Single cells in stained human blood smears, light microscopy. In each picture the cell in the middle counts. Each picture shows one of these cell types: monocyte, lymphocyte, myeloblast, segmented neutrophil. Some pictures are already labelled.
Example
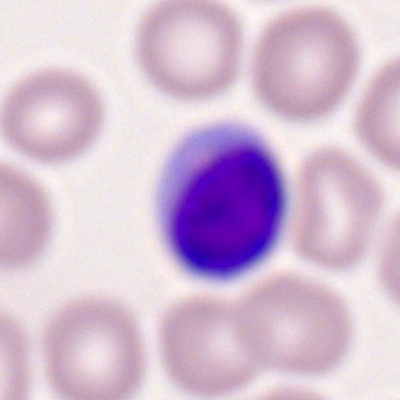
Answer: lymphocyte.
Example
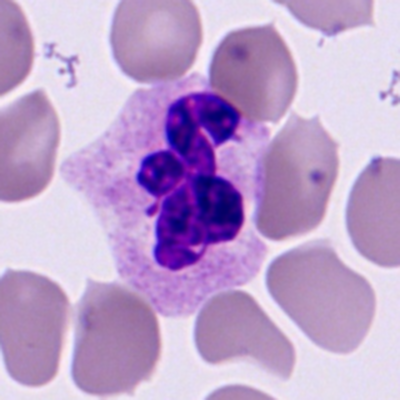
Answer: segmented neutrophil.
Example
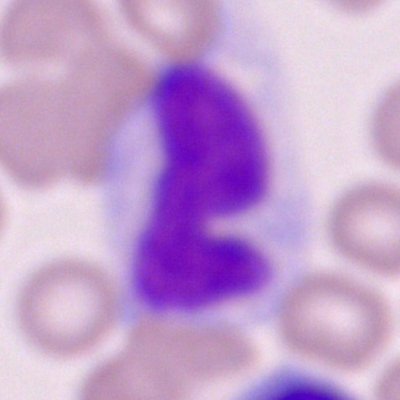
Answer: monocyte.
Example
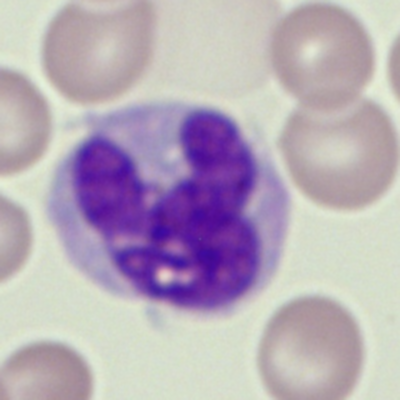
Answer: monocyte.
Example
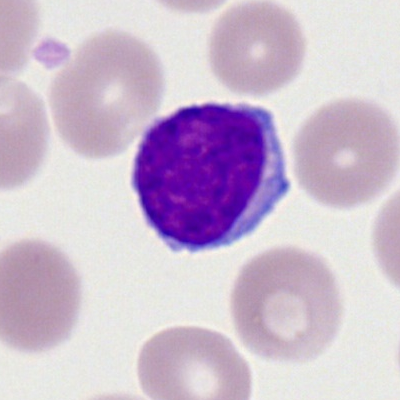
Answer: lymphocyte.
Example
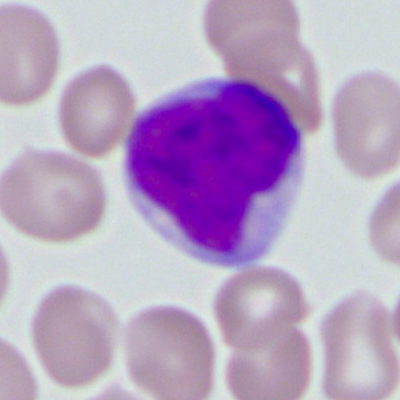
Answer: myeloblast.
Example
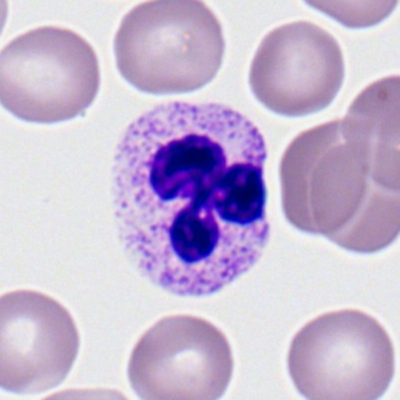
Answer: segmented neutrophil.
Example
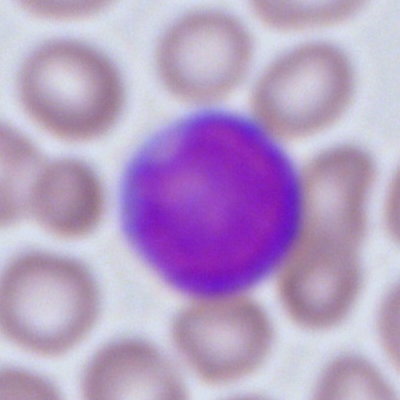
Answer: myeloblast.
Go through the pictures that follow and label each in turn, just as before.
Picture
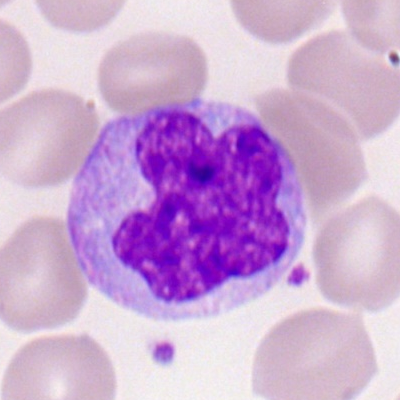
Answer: monocyte.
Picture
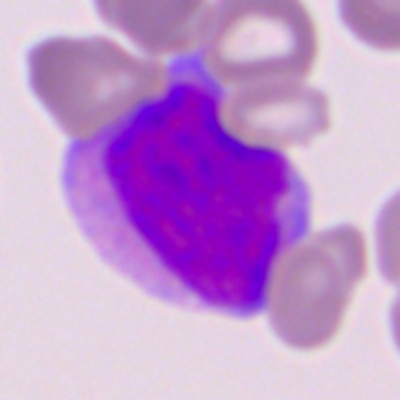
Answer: myeloblast.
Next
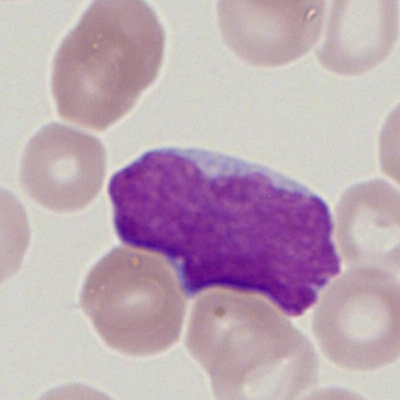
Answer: myeloblast.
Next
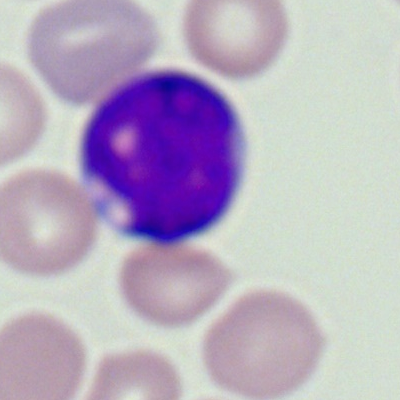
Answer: myeloblast.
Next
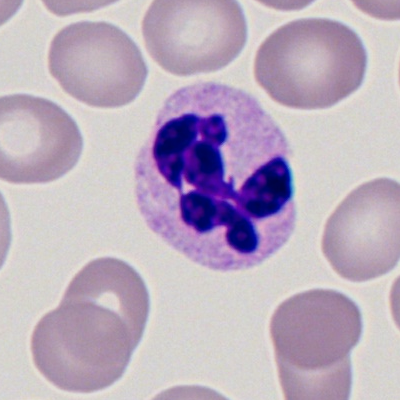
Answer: segmented neutrophil.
